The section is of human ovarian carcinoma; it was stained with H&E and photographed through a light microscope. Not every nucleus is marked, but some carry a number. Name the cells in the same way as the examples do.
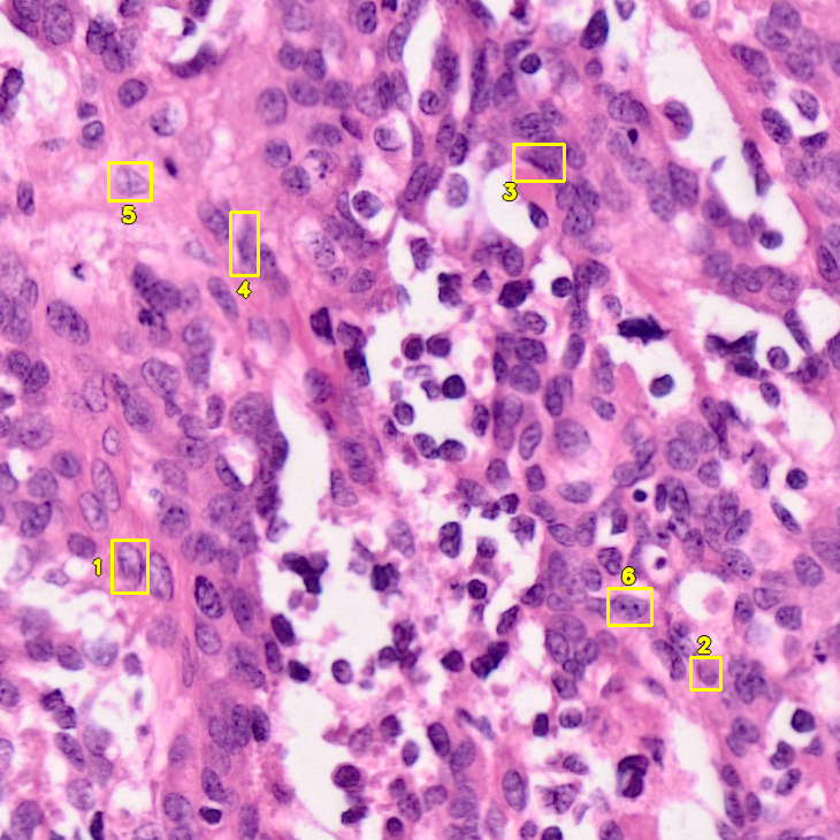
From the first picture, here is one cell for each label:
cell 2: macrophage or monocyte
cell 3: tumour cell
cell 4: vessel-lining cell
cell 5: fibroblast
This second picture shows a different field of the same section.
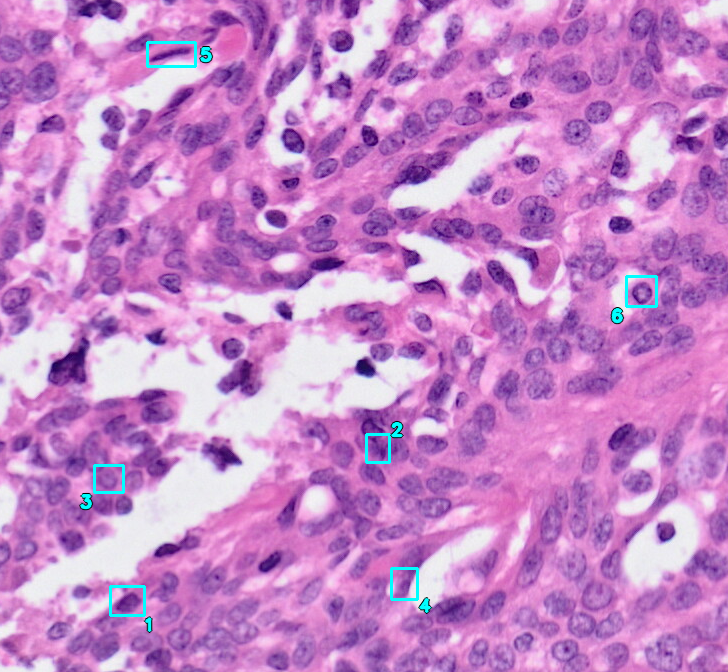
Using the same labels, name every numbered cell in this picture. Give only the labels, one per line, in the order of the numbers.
tumour cell
tumour cell
tumour cell
tumour cell
fibroblast
macrophage or monocyte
